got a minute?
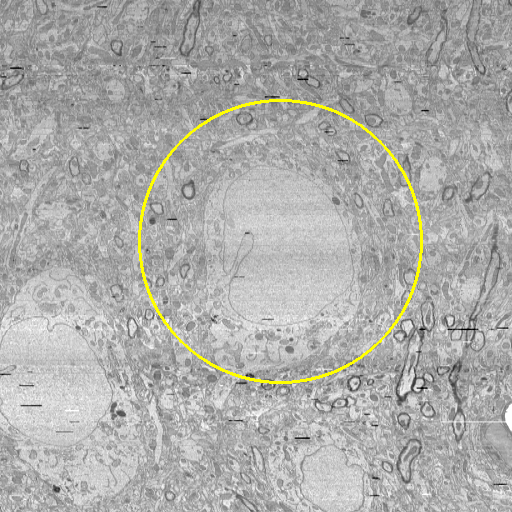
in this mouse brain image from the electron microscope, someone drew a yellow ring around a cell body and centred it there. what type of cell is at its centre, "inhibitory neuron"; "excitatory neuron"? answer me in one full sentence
It's an excitatory neuron at the middle of that yellow ring in the shot.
